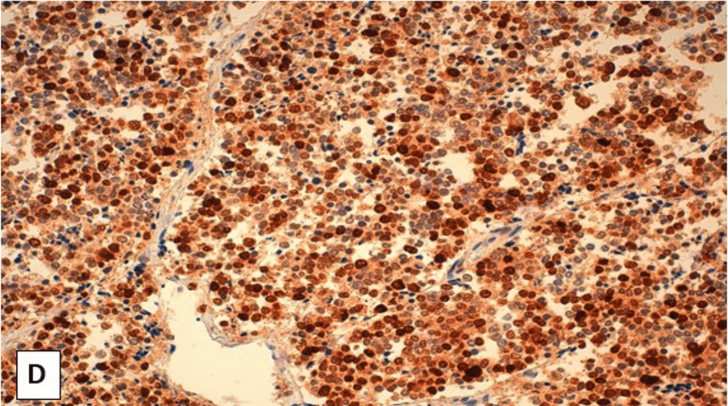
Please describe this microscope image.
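Sheets of closely packed, small round tumor cells are separated by thin strands of connective tissue. Many of their round nuclei are stained dark brown, others only pale brown, and the cells lie loosely with small clear spaces between them. Elongated blue nuclei of stromal cells run along the fibrous strands, and a wide, empty vascular space lies at the lower left.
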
